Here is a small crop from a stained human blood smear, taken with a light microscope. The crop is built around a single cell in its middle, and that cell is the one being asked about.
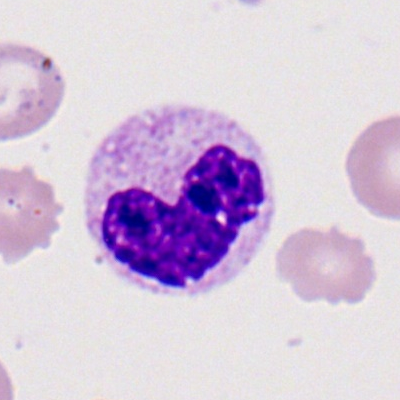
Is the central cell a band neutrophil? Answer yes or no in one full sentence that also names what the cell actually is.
Yes, the cell at the heart of the crop is a band neutrophil.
